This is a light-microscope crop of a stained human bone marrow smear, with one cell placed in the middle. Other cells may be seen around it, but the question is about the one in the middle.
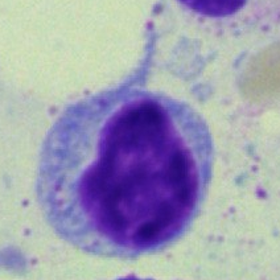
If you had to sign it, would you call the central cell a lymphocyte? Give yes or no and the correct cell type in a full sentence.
Yes, the cell at the heart of the crop is a lymphocyte.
